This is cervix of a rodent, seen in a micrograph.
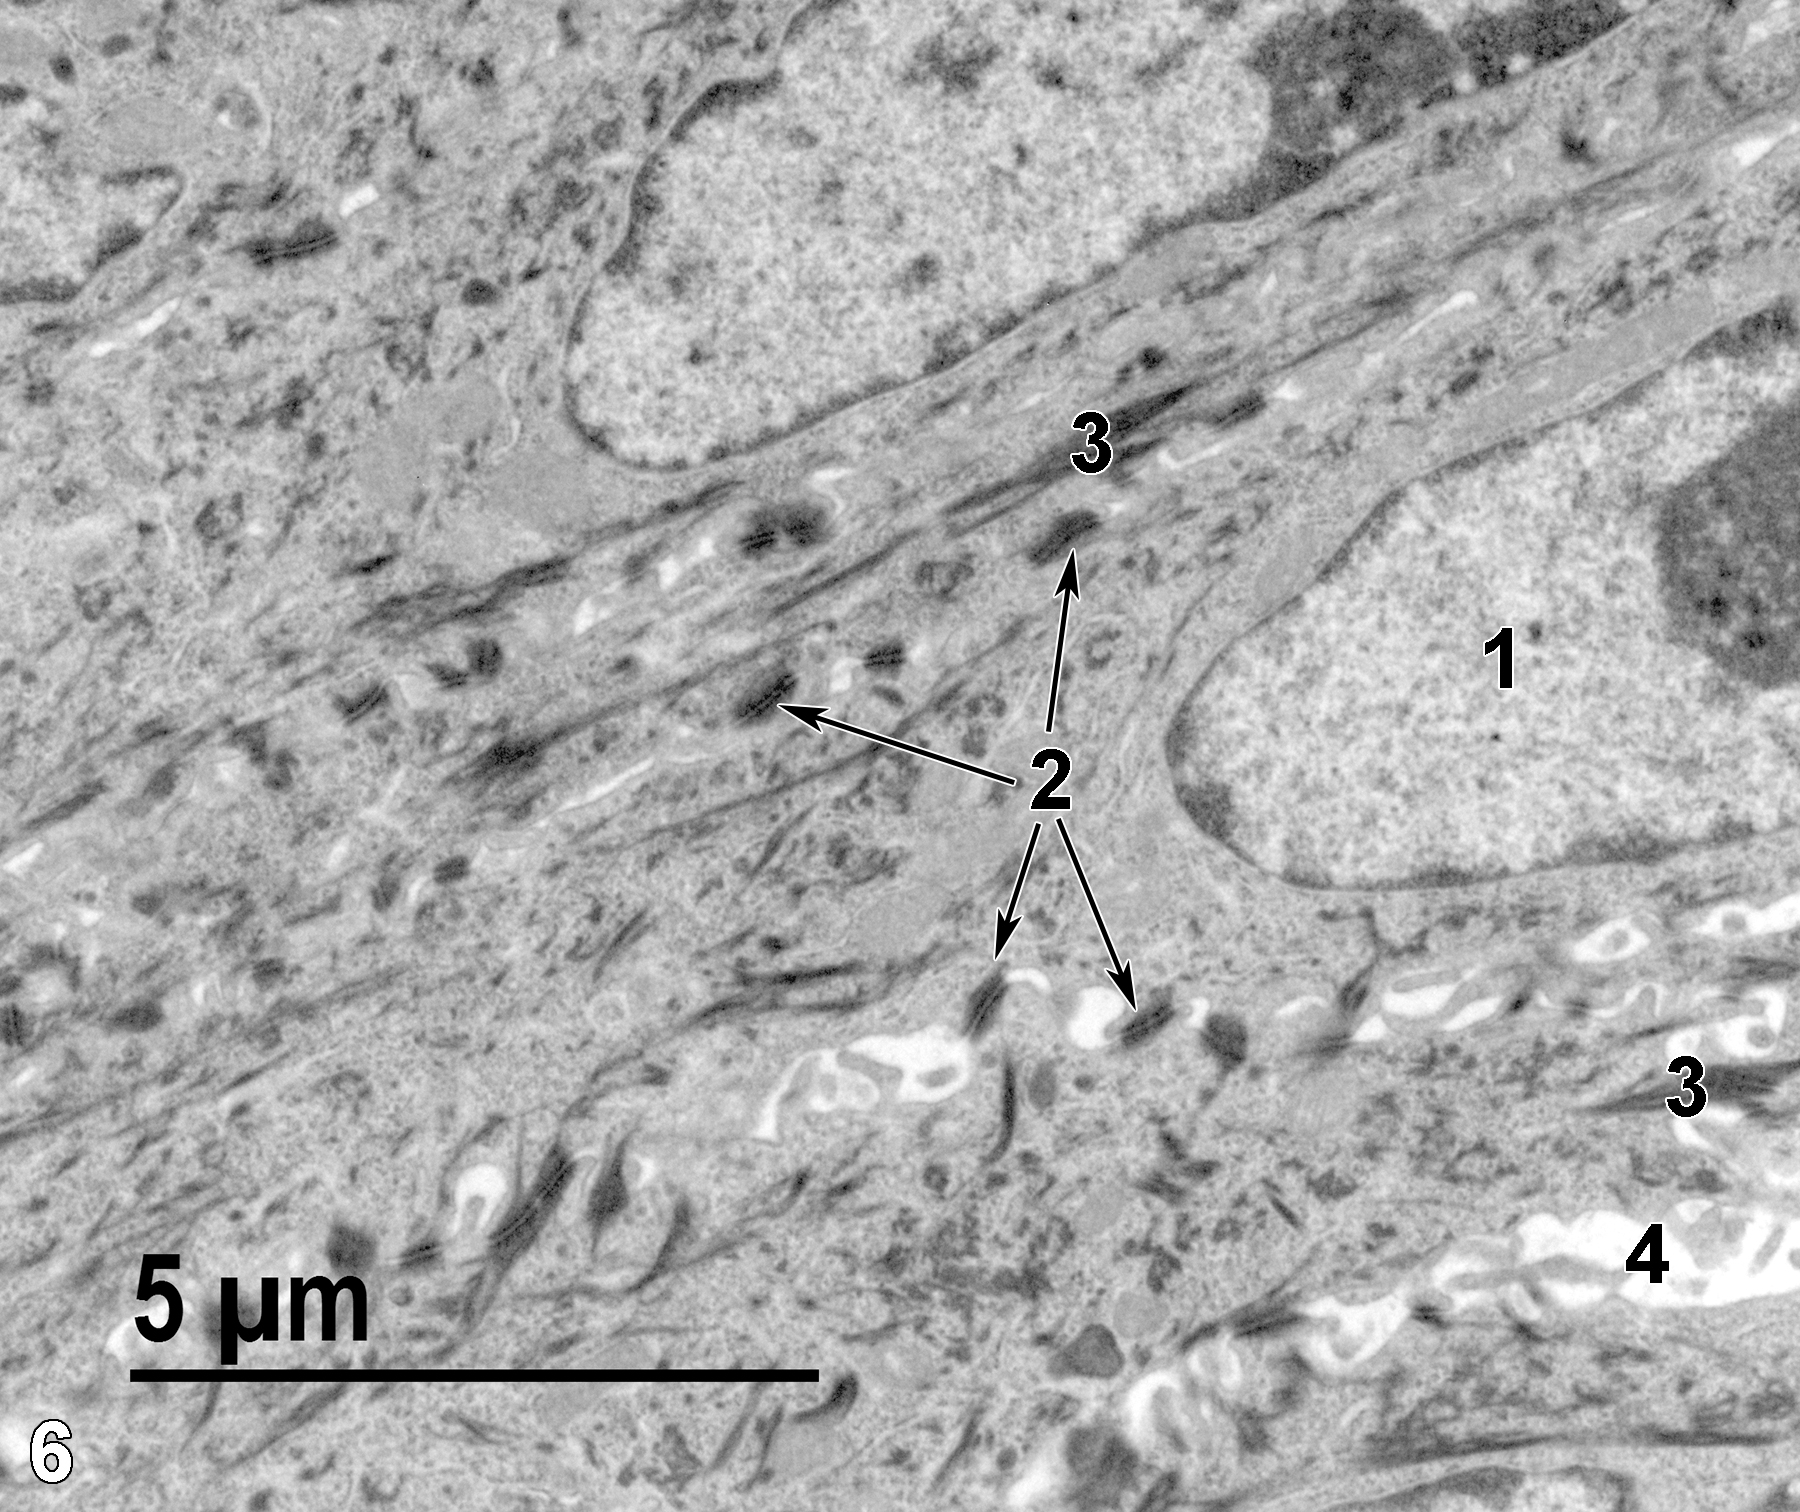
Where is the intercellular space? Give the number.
It's 4.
